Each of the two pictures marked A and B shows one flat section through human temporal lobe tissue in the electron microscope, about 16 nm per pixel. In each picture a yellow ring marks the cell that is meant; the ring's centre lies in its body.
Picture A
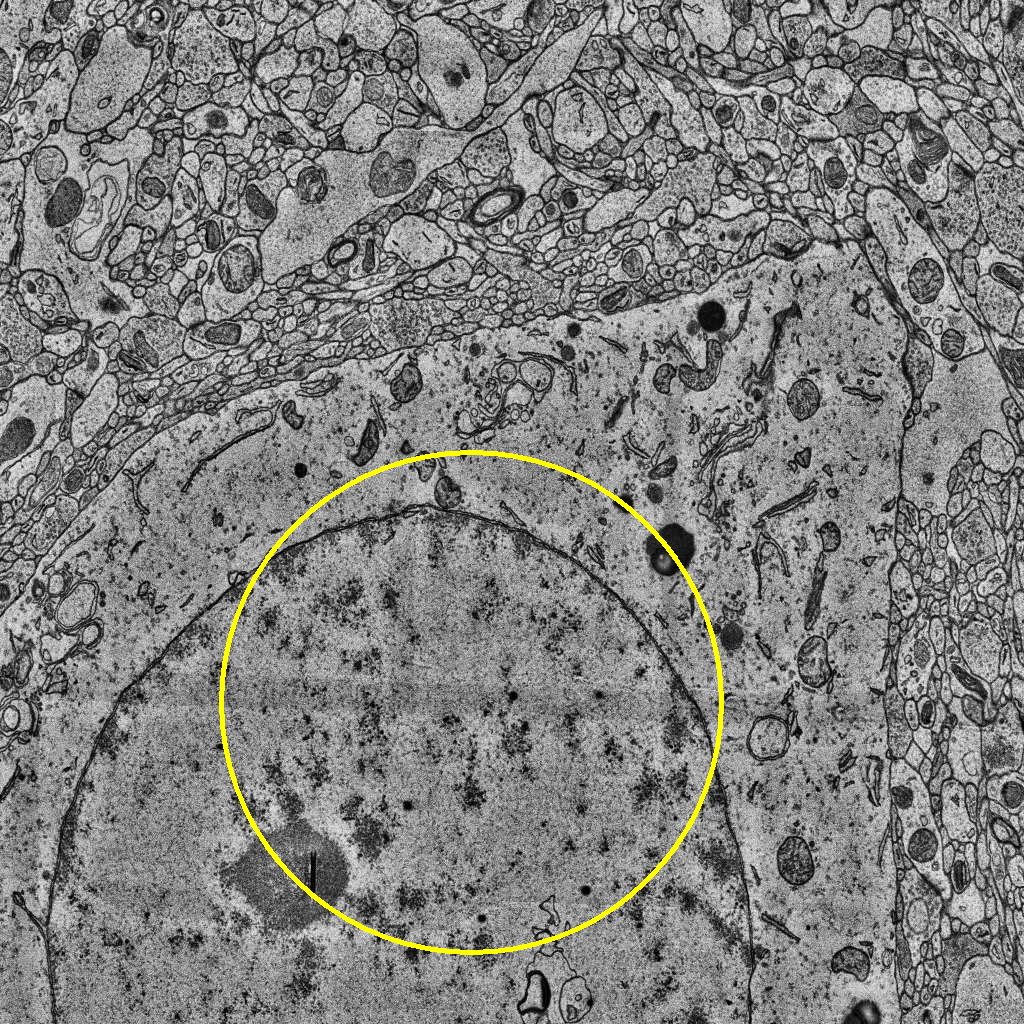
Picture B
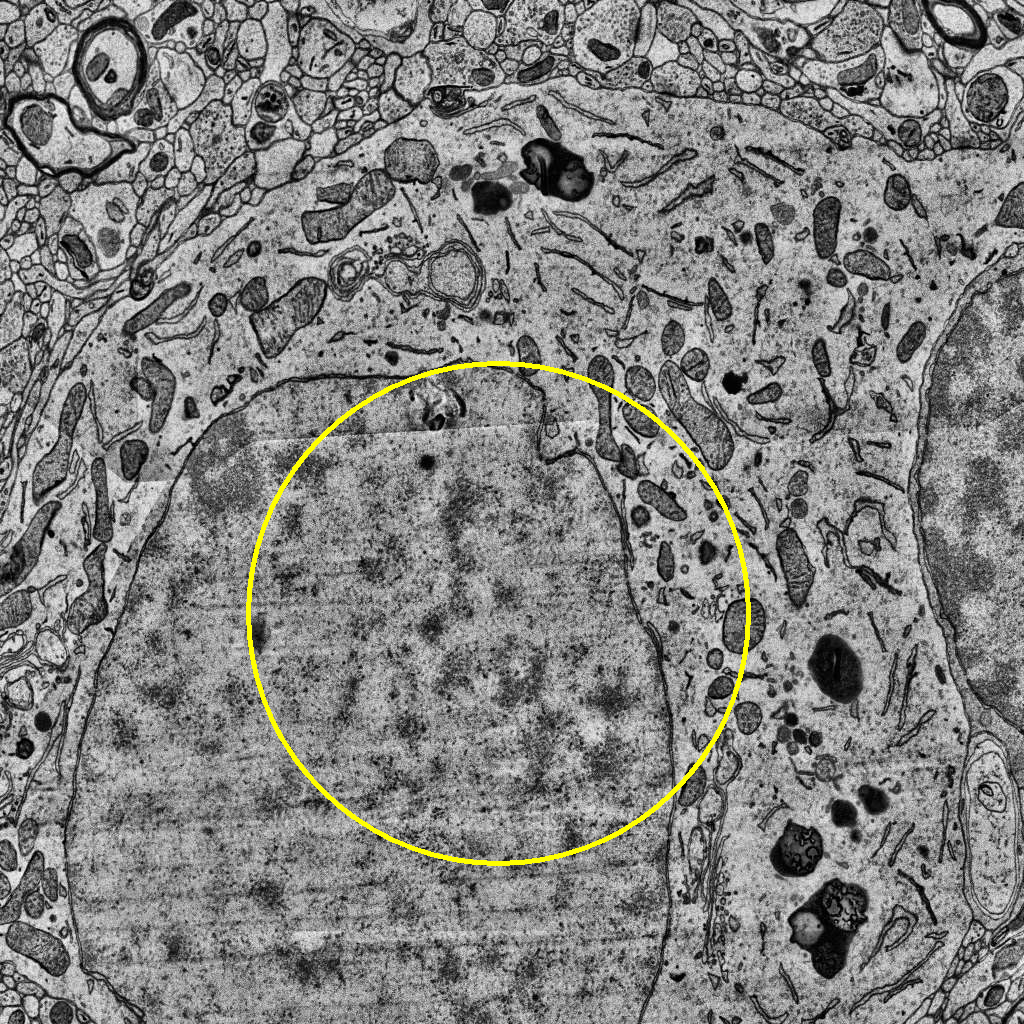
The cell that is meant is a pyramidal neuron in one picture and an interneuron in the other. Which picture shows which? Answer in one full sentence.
Picture B shows an interneuron, while picture A shows a pyramidal neuron.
